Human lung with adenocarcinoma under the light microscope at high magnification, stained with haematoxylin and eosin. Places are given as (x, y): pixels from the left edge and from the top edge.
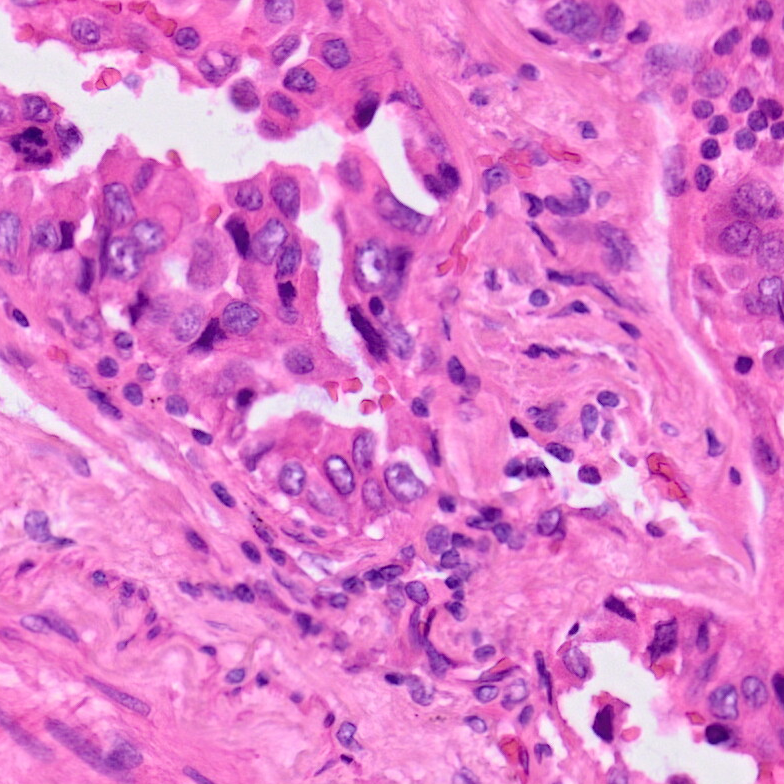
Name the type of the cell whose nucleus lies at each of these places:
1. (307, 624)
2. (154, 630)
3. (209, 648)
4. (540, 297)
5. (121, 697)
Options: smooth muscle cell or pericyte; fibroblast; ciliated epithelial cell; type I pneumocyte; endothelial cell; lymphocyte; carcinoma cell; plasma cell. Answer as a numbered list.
1. plasma cell
2. smooth muscle cell or pericyte
3. smooth muscle cell or pericyte
4. lymphocyte
5. smooth muscle cell or pericyte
